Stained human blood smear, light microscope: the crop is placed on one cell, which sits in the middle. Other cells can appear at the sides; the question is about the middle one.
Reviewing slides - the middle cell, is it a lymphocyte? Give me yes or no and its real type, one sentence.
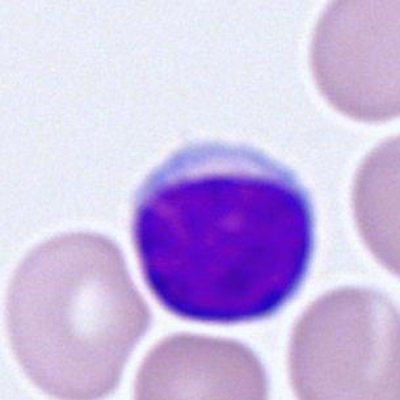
Yes, the cell in the middle of this smear crop is a lymphocyte.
